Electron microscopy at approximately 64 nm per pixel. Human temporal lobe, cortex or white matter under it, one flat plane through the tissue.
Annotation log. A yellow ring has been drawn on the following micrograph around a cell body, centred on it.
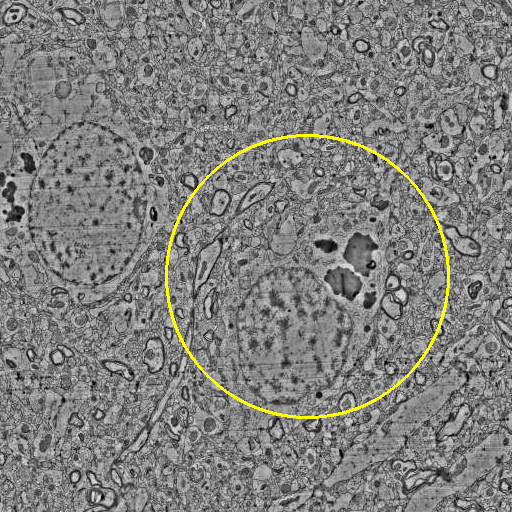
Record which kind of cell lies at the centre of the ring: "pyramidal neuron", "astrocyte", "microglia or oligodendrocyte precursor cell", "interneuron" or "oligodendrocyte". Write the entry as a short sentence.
The cell the ring is centred on is an interneuron.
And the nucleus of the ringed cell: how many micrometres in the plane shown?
Approximately 9 by 7 micrometers in this plane.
